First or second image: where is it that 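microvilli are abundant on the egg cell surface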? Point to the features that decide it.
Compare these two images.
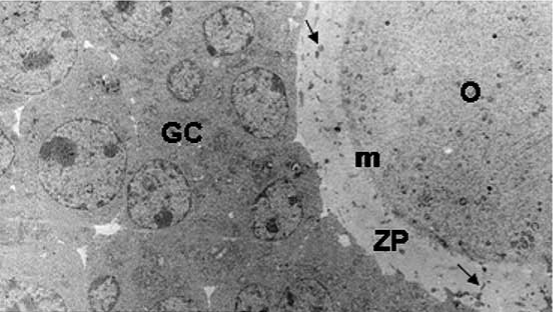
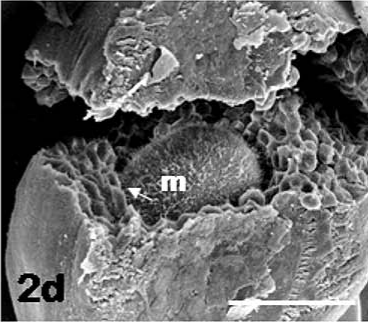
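The second image. Second image: the exposed egg cell surface is densely covered with fine bristle-like projections. First image: the egg cell border shows only few short projections into the pale band.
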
